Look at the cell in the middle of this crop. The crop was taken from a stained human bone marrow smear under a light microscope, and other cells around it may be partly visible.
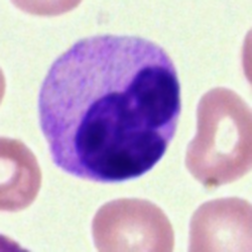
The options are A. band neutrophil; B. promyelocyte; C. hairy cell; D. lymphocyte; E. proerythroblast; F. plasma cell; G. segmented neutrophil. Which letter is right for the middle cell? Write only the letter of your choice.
A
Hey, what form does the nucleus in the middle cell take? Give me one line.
The nuclear outline breaks up into two or more lobes.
